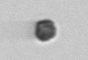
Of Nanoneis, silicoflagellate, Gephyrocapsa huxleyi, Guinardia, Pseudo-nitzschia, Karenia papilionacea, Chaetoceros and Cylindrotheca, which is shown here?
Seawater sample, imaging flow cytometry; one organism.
Gephyrocapsa huxleyi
